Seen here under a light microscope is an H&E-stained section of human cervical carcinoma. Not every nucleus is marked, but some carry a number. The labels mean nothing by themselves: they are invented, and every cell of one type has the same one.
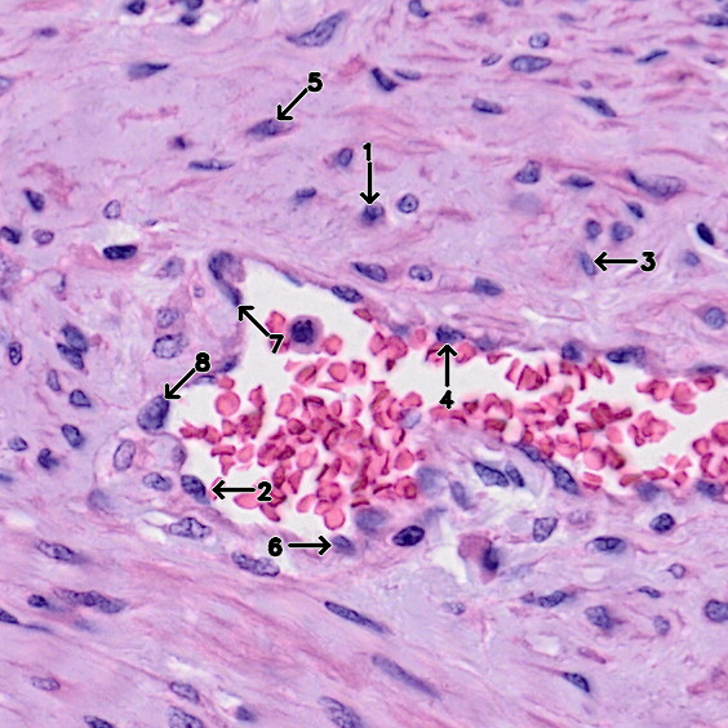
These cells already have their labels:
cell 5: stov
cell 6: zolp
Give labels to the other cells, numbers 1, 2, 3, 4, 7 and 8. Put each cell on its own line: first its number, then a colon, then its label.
1: stov
2: zolp
3: stov
4: zolp
7: zolp
8: zolp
